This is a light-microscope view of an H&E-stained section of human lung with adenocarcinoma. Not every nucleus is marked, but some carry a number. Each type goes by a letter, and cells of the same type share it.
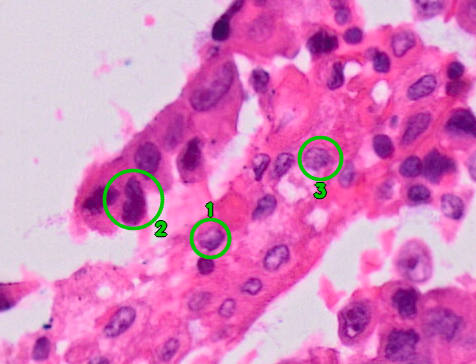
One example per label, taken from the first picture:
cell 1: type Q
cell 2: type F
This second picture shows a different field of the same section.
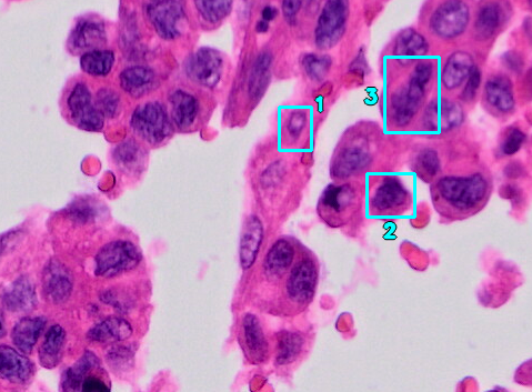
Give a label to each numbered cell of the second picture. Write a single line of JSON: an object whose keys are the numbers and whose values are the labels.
{"1": "type Q", "2": "type F", "3": "type F"}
